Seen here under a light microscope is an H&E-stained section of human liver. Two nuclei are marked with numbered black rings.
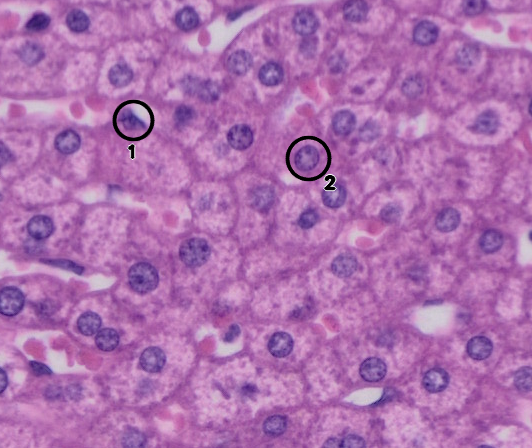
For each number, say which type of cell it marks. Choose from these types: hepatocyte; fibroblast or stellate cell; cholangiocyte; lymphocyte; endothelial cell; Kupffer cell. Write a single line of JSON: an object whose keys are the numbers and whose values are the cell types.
{"1": "endothelial cell", "2": "hepatocyte"}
